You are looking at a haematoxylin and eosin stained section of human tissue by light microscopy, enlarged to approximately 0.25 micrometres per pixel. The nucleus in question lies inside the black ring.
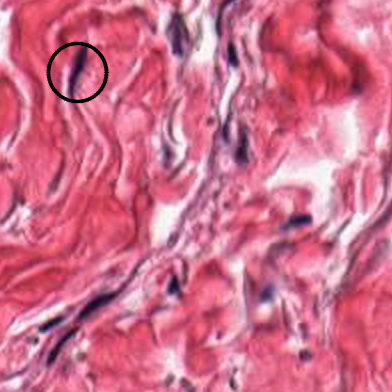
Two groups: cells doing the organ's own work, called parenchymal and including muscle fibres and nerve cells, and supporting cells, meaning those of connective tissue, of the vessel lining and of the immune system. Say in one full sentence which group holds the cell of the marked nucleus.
It is a supporting cell to which the marked nucleus belongs.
